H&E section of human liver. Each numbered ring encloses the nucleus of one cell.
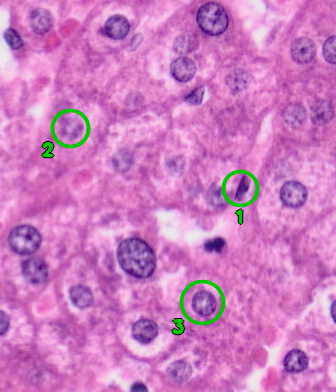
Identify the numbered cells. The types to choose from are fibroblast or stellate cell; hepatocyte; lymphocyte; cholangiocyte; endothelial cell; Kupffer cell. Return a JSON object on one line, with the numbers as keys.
{"1": "endothelial cell", "2": "hepatocyte", "3": "hepatocyte"}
